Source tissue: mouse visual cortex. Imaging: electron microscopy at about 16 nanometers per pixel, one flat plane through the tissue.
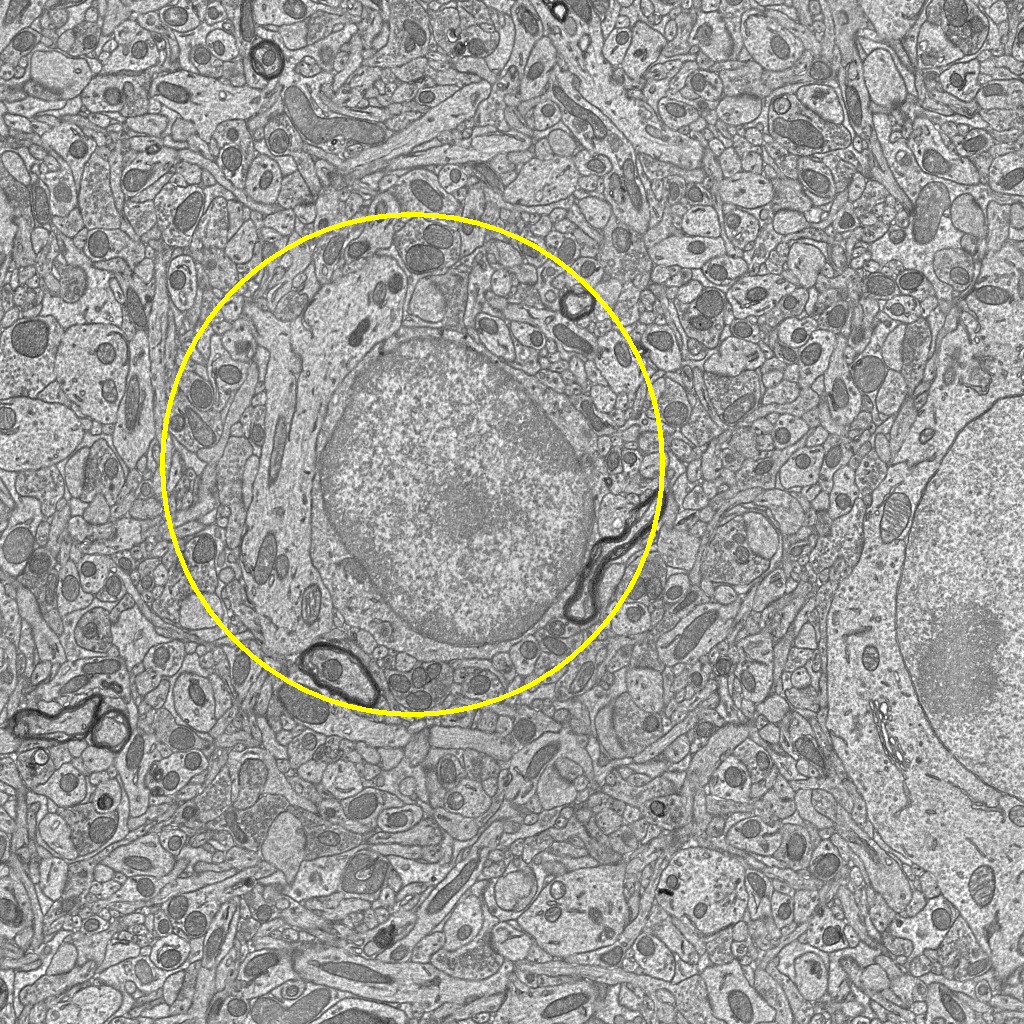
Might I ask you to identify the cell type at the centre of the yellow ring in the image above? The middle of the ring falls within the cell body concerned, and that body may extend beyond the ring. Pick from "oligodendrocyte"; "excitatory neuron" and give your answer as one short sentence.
The centre of the ring falls on an oligodendrocyte.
